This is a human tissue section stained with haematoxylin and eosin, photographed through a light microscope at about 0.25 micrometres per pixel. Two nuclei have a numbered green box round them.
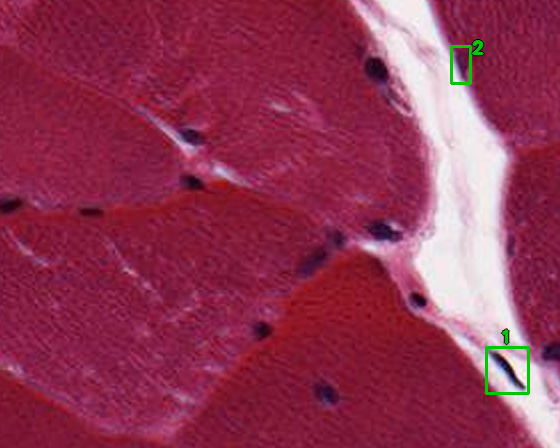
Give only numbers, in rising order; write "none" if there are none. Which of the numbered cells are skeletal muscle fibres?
2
